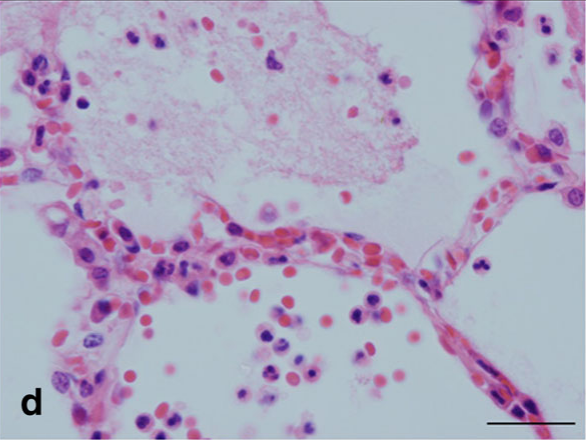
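Lung alveoli whose septa are widened by capillaries crowded with red blood cells, with neutrophils bearing segmented dark nuclei in the septa and in the air spaces. One alveolus is filled with pale pink, finely fibrillar fluid, while free red blood cells and neutrophils lie in the neighbouring air space.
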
